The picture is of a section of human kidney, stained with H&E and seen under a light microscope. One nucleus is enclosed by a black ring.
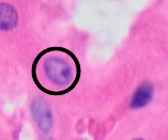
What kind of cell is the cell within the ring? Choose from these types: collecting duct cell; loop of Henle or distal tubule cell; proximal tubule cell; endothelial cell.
proximal tubule cell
